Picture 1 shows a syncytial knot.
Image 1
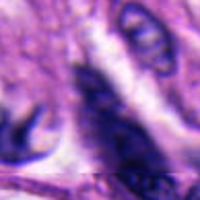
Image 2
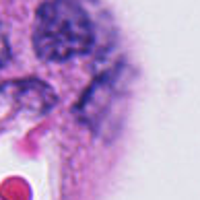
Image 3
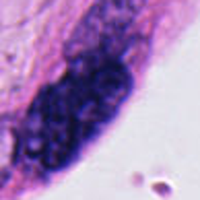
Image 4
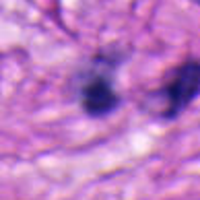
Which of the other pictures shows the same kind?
Picture 3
